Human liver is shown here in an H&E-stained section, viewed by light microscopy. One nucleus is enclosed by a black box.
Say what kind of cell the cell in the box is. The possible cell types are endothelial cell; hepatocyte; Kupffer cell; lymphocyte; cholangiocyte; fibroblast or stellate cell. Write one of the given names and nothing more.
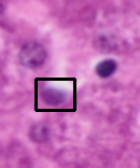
endothelial cell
